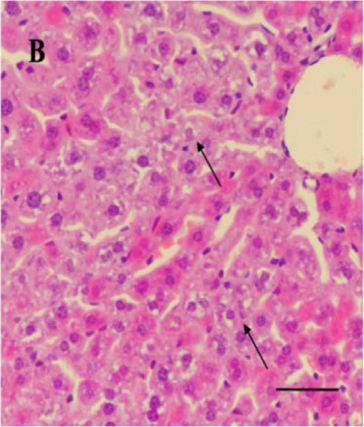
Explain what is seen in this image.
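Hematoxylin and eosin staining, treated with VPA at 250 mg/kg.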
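This is liver tissue with cords of polygonal hepatocytes beside a large round vessel at the upper right. Many hepatocytes have pale, foamy cytoplasm filled with numerous small clear vacuoles, while their round nuclei stay in the centre of the cell. This fine vacuolation is the picture of microvesicular steatosis, standing out against scattered cells with denser pink cytoplasm and sinusoids between the cords.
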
